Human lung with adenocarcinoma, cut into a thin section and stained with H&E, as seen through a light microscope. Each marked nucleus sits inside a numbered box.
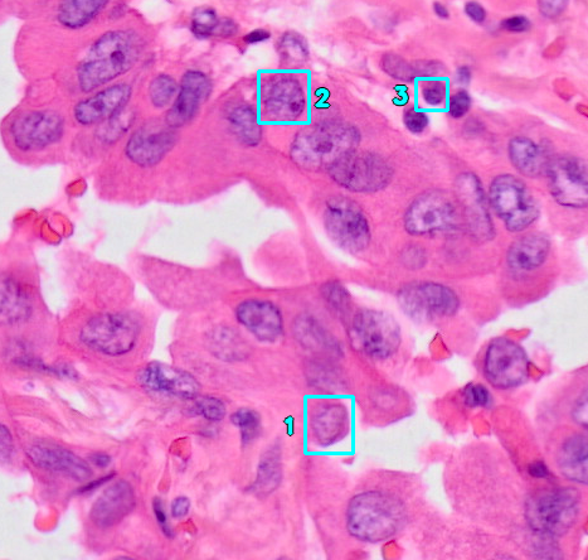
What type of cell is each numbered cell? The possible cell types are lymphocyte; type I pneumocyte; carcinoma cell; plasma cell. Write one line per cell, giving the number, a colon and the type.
1: carcinoma cell
2: carcinoma cell
3: lymphocyte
